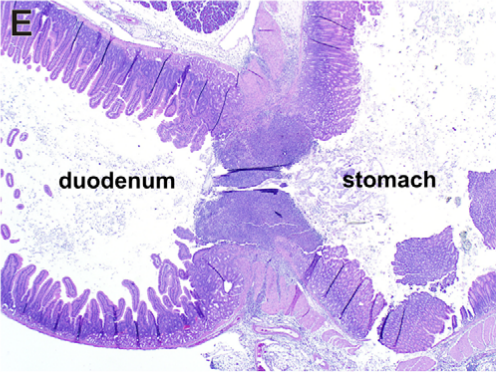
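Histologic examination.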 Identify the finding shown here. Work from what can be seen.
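Ulceration. At the junction between the two labelled segments the surface lining is interrupted. The wall at the junction is replaced by a dense, dark purple mass of tissue.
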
